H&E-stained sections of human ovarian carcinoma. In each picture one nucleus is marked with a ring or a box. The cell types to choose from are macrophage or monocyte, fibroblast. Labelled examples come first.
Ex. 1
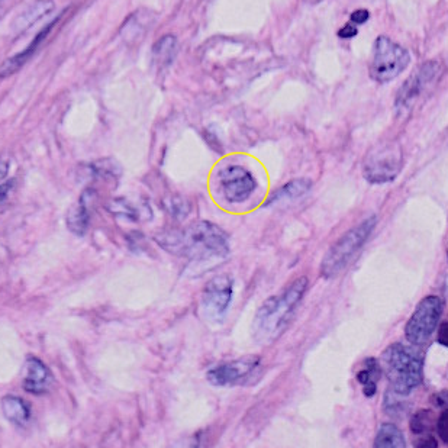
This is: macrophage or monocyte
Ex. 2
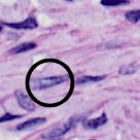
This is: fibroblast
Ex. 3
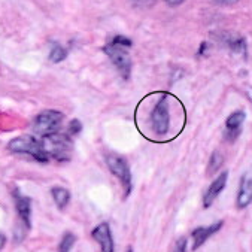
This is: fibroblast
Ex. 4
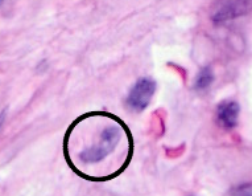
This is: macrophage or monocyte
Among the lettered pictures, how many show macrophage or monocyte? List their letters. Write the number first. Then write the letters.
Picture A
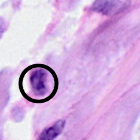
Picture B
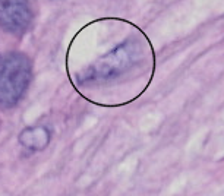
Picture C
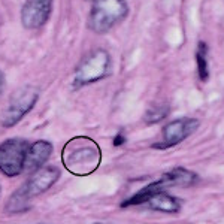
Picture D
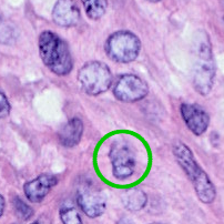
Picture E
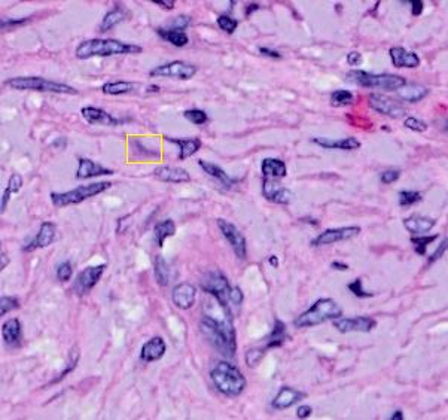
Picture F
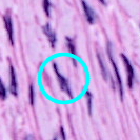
1, namely A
